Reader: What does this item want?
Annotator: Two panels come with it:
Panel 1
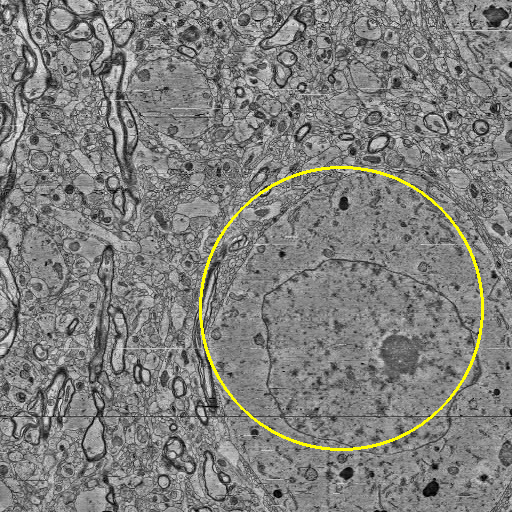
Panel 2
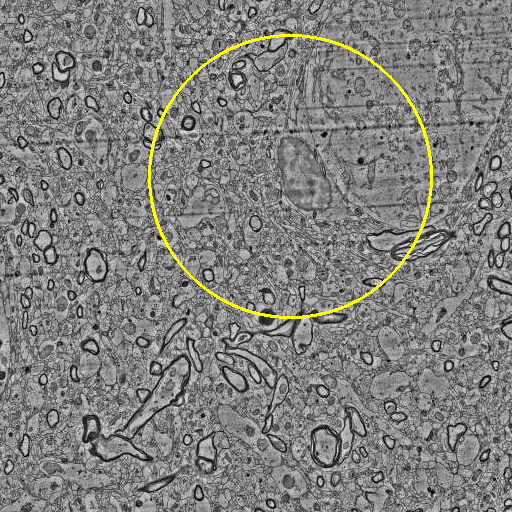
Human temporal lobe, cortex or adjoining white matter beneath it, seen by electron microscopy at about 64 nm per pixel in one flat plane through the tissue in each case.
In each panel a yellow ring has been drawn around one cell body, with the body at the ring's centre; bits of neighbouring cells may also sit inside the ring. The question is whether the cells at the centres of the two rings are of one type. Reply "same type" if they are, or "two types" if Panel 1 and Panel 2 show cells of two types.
two types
